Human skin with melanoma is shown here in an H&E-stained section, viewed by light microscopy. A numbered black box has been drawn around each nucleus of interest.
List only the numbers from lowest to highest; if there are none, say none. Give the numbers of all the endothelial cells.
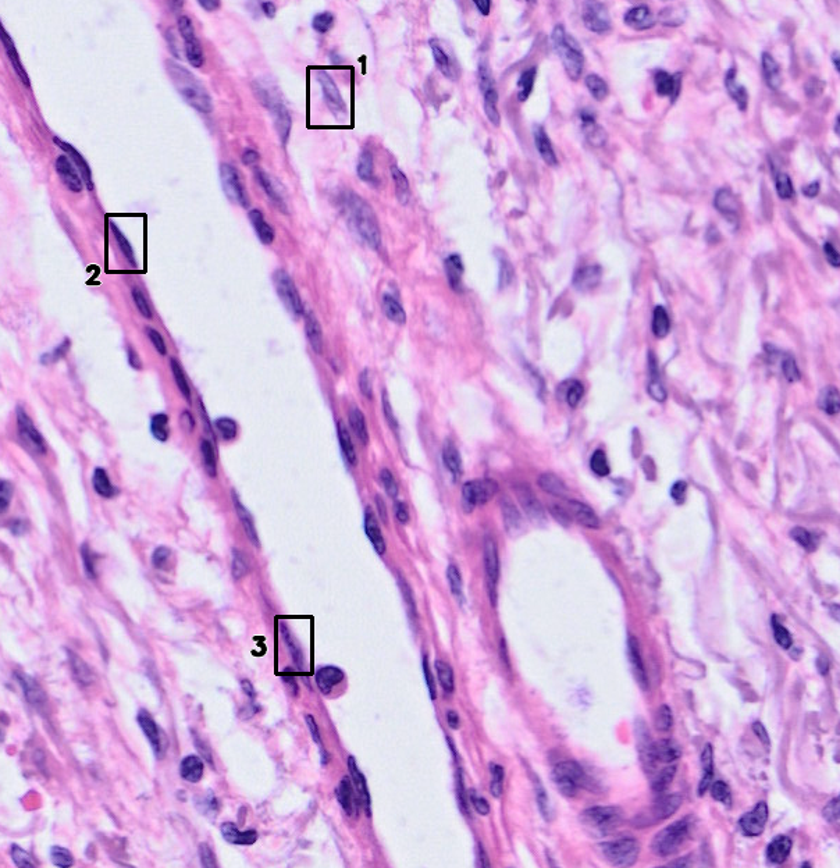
2, 3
